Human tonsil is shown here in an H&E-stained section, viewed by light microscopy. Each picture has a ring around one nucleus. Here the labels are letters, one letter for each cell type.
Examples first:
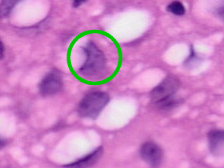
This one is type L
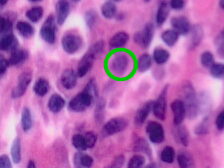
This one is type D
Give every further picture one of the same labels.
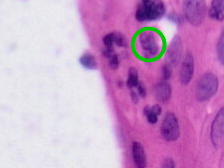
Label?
type L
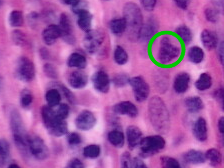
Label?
type D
